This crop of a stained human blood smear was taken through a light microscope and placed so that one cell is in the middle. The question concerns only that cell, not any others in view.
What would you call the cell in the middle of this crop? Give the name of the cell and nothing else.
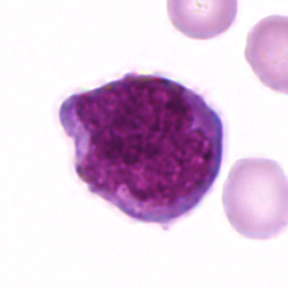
atypical promyelocyte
